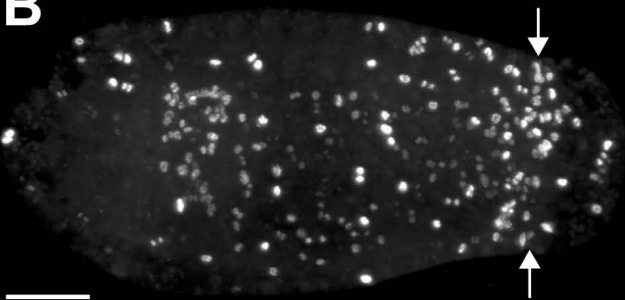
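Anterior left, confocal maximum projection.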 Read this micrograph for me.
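The elongated oval body shows a faint grey outline, over which many small bright round or paired nuclei are scattered. These labelled nuclei are spread across the trunk and head, but become much denser in a transverse band near the posterior end, where they crowd together across the width of the body. Behind this band the rounded terminal region carries fewer labelled nuclei. Several labelled nuclei appear doubled, as pairs of bright spots lying close together.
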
